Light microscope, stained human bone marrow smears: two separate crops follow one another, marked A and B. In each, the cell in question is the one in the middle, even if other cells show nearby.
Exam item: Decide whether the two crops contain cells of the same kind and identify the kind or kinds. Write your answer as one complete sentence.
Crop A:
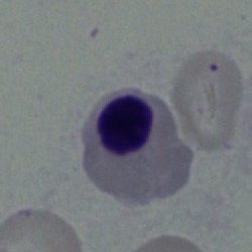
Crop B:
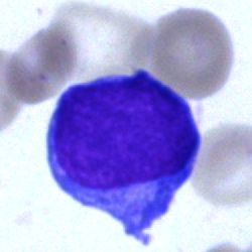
No, a blast is in crop B, and an erythroblast is in crop A.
